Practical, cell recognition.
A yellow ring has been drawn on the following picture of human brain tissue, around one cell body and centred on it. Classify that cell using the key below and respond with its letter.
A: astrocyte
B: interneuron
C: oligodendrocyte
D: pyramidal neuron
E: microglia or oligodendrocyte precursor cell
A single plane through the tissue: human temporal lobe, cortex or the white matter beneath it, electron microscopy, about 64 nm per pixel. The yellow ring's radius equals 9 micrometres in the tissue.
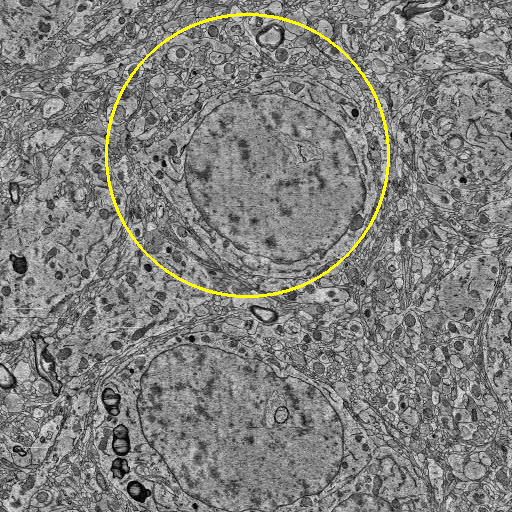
D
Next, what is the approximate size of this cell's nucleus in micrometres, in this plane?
Approximately 11 micrometres across, in this plane.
